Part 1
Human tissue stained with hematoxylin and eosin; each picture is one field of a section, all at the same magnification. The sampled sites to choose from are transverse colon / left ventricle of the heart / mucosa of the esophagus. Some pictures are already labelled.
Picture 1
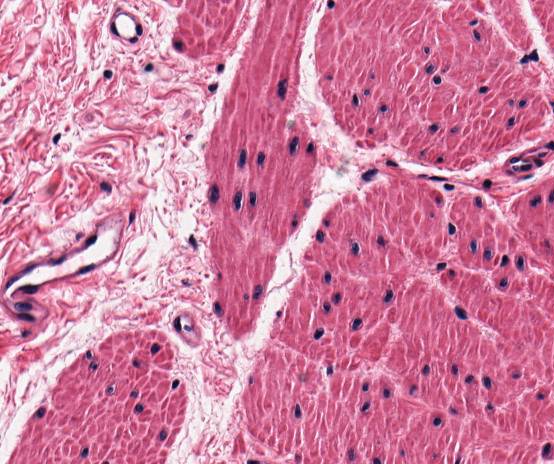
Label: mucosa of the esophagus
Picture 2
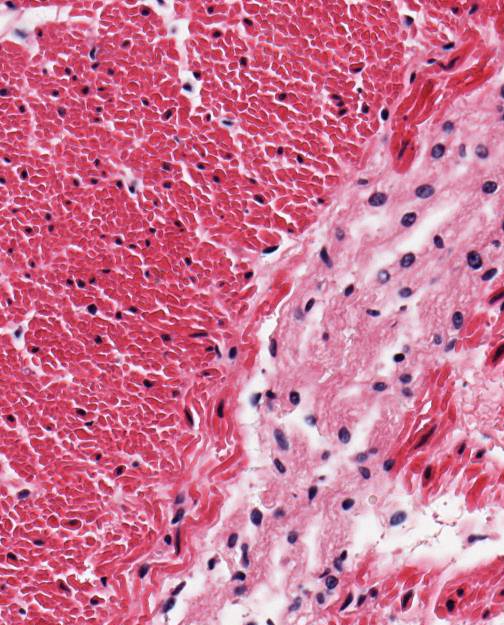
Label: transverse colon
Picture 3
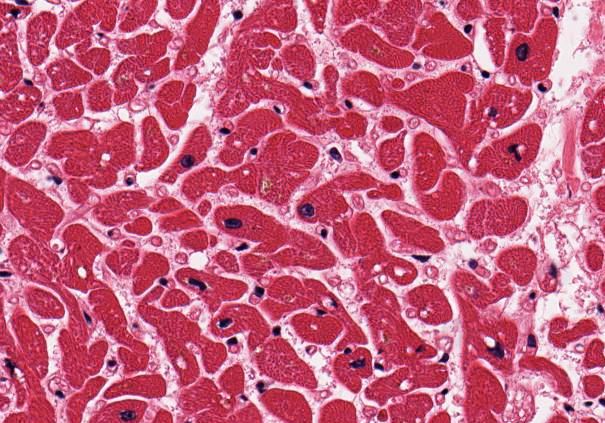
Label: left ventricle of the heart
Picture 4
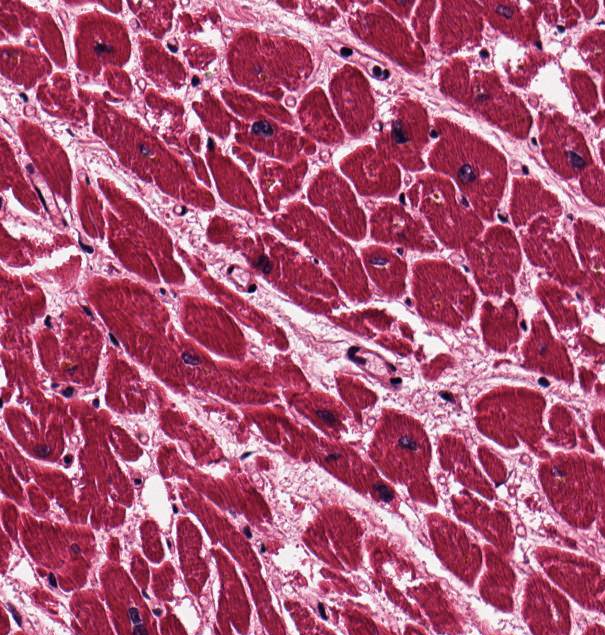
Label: left ventricle of the heart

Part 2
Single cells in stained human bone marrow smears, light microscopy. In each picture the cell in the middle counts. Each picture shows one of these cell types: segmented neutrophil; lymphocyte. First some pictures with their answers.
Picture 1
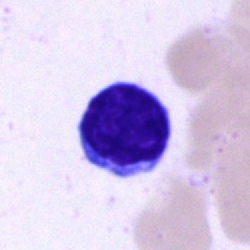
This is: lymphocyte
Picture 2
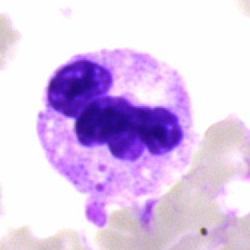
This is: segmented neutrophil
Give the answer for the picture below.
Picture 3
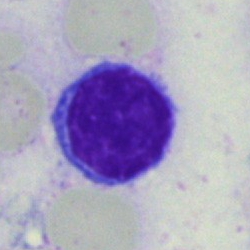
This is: lymphocyte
